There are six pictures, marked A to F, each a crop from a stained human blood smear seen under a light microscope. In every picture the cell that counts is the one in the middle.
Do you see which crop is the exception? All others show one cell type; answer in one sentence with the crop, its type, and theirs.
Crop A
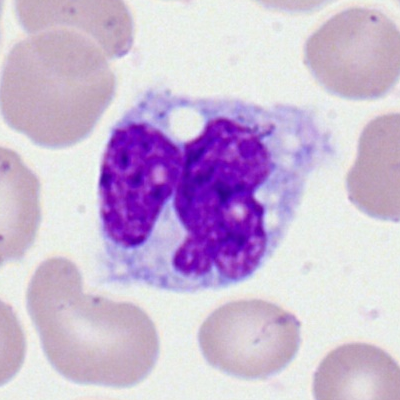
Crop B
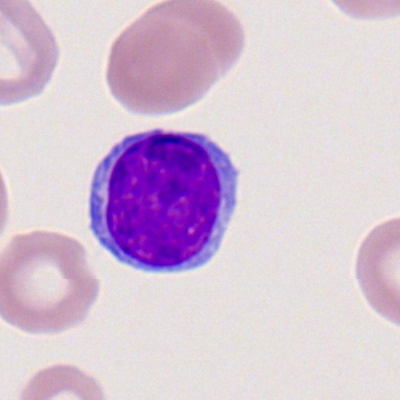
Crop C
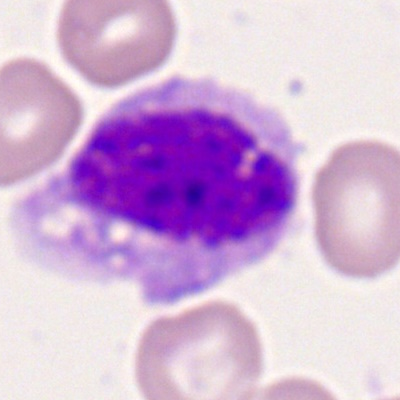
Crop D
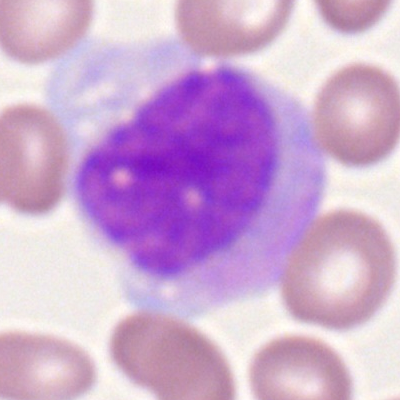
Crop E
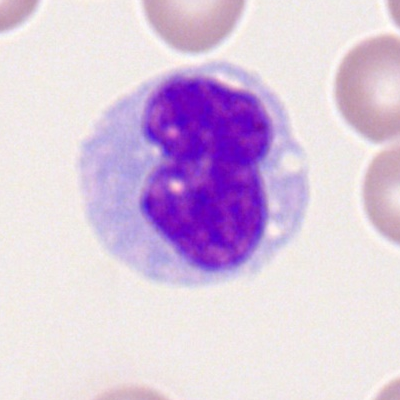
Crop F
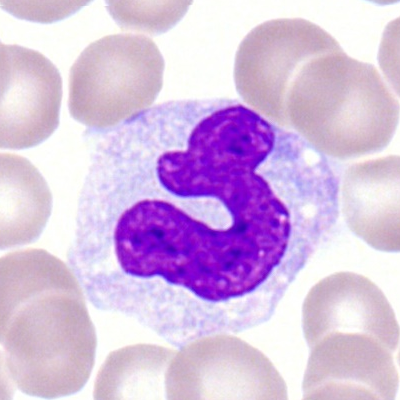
Crop B does not fit, being a lymphocyte where all the others show monocytes.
